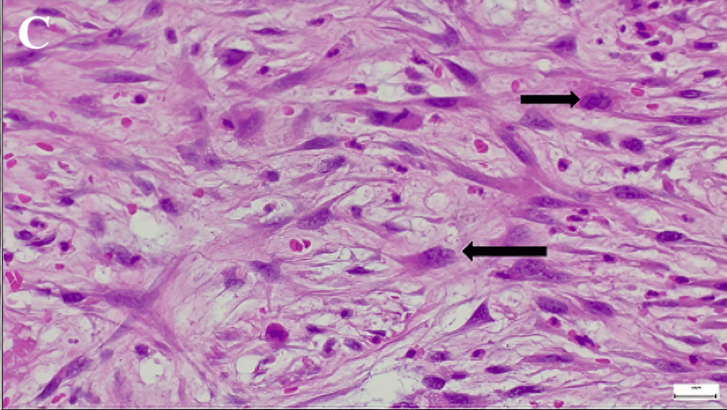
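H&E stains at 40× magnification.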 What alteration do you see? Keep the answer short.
Pleomorphic nuclei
